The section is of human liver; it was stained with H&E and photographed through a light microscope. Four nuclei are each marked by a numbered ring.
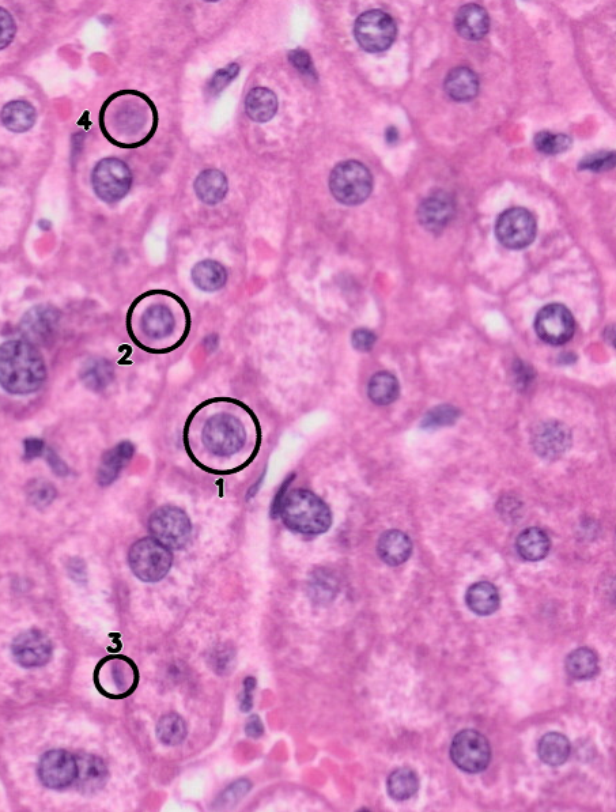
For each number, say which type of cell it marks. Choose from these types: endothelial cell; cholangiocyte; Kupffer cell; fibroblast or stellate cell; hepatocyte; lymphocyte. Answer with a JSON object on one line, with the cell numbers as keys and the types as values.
{"1": "hepatocyte", "2": "hepatocyte", "3": "endothelial cell", "4": "hepatocyte"}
